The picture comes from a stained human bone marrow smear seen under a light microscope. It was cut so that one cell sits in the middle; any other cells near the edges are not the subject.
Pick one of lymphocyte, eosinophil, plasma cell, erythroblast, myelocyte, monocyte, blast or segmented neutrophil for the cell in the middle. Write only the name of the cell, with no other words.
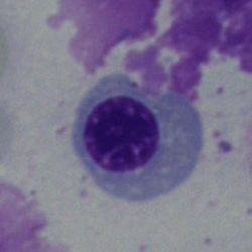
erythroblast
